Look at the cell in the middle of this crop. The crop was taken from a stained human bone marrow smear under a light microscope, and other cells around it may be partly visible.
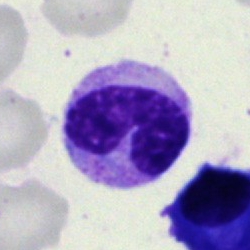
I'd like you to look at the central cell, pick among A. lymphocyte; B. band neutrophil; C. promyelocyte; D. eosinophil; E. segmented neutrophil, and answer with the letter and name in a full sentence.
The cell in the centre of the crop is a band neutrophil, so option B is the correct one.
